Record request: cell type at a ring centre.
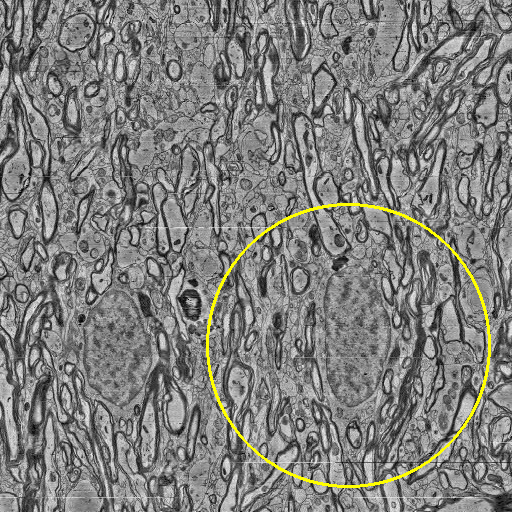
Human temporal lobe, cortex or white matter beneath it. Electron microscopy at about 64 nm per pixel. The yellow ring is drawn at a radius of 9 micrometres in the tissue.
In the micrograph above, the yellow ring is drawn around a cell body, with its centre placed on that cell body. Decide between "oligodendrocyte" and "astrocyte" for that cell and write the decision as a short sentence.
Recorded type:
The cell centred in the yellow ring is an oligodendrocyte.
